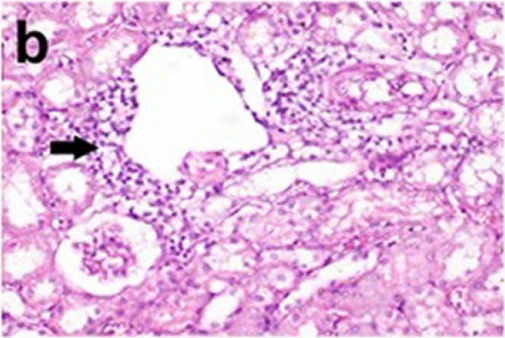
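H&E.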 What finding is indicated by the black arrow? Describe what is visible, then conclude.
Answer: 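Interstitial leukocyte infiltration. The arrow points to a dense crowd of small, dark, round nuclei between tubules. The crowded nuclei surround a large empty space.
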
